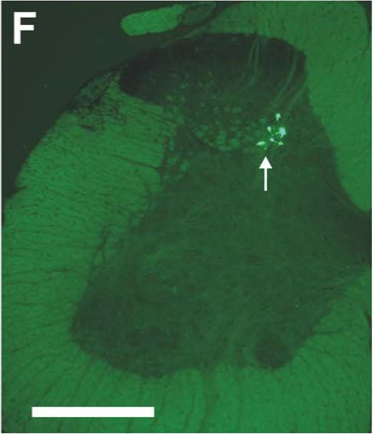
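Low-power transverse view of spinal cord with a small group of brightly labeled neurons. The darker central gray matter is surrounded by paler white matter with radiating striations, and the labeled cell bodies form a tight cluster within the gray matter.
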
